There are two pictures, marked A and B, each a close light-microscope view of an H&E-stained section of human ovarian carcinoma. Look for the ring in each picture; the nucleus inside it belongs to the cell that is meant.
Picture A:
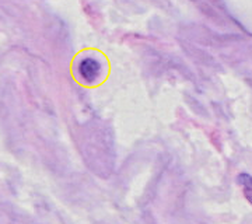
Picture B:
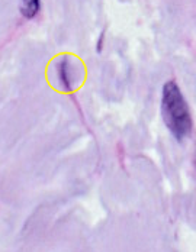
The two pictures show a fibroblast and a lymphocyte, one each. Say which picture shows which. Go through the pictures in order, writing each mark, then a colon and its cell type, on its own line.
A: lymphocyte
B: fibroblast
